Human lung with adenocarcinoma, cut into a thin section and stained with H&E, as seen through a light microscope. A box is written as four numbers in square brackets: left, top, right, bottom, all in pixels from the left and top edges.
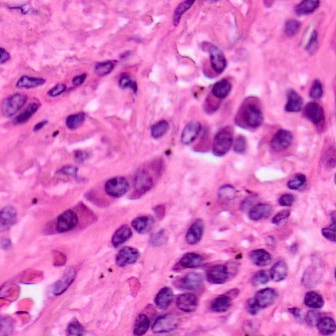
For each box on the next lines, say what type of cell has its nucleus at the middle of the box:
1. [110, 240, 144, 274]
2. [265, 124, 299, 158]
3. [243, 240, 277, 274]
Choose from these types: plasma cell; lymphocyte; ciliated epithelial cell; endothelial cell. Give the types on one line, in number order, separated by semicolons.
lymphocyte; plasma cell; lymphocyte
